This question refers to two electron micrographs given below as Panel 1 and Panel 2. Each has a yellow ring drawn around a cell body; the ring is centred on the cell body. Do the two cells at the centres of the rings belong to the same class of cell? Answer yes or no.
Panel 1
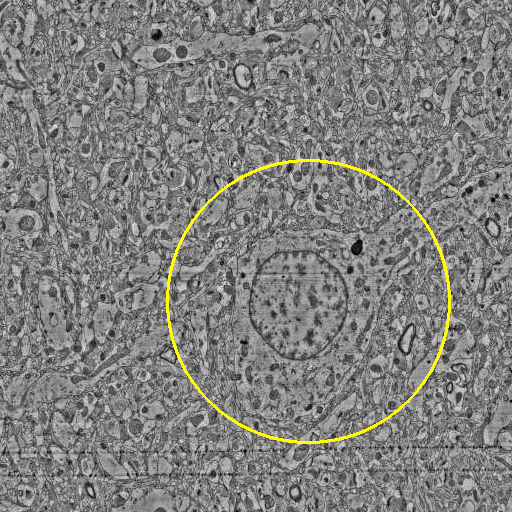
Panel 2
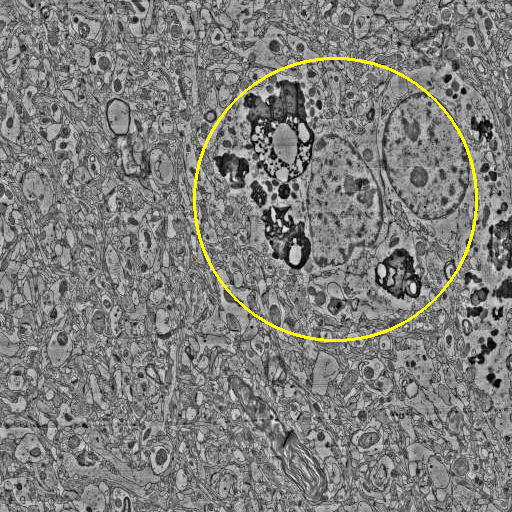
no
